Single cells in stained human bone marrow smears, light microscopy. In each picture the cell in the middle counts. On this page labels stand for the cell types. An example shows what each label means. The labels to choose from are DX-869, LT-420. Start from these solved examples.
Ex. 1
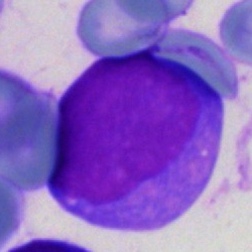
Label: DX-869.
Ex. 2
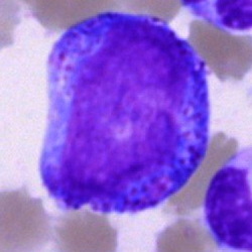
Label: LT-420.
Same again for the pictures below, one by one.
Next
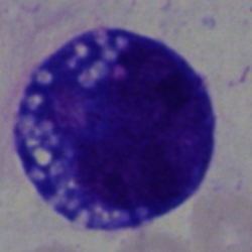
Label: DX-869.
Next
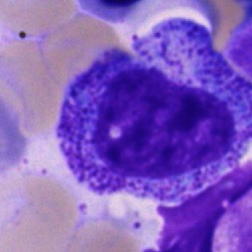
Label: LT-420.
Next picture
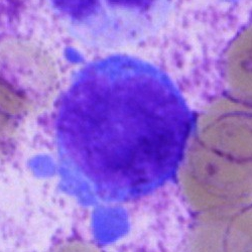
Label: DX-869.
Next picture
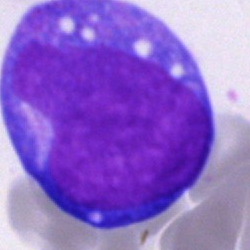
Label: DX-869.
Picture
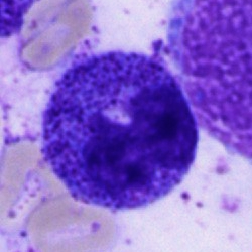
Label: LT-420.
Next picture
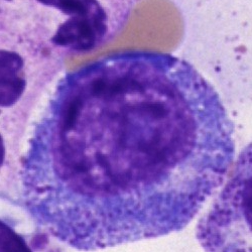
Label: LT-420.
